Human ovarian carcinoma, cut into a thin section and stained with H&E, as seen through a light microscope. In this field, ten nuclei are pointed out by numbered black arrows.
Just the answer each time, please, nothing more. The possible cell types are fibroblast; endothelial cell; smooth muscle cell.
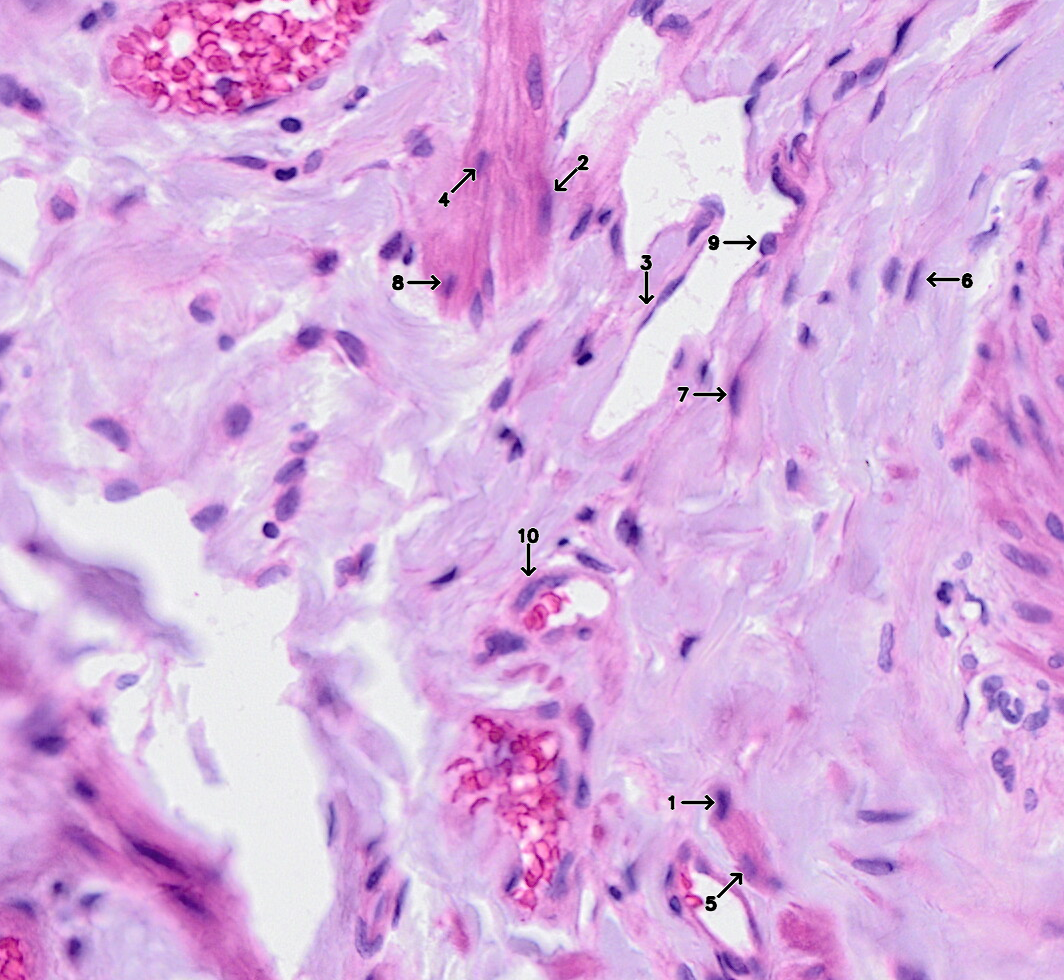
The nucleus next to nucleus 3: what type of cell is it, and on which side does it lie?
an endothelial cell above and to the right of nucleus 3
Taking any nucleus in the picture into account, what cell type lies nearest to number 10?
endothelial cell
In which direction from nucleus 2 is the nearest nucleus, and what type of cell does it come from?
a smooth muscle cell below nucleus 2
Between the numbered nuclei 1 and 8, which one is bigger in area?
1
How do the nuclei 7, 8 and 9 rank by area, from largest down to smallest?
7, 9, 8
